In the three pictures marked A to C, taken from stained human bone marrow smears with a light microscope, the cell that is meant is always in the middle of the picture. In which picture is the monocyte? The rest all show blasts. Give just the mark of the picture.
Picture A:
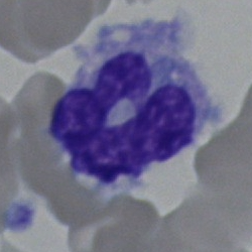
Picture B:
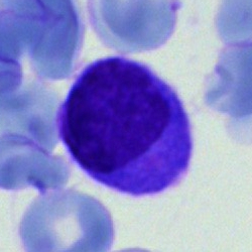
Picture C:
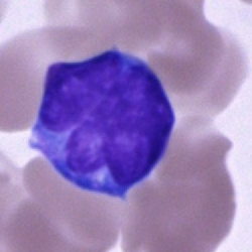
A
